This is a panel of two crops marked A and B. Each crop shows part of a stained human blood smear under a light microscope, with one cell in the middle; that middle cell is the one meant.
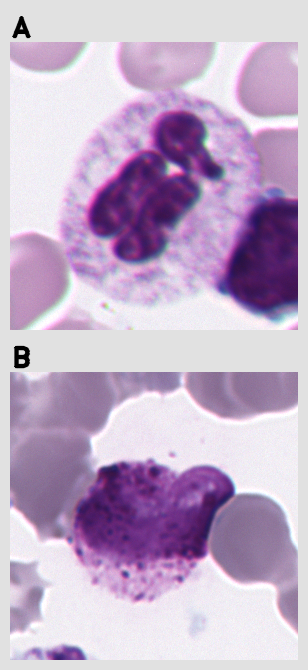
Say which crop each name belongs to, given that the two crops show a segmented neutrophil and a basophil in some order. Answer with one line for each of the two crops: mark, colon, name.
A: segmented neutrophil
B: basophil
